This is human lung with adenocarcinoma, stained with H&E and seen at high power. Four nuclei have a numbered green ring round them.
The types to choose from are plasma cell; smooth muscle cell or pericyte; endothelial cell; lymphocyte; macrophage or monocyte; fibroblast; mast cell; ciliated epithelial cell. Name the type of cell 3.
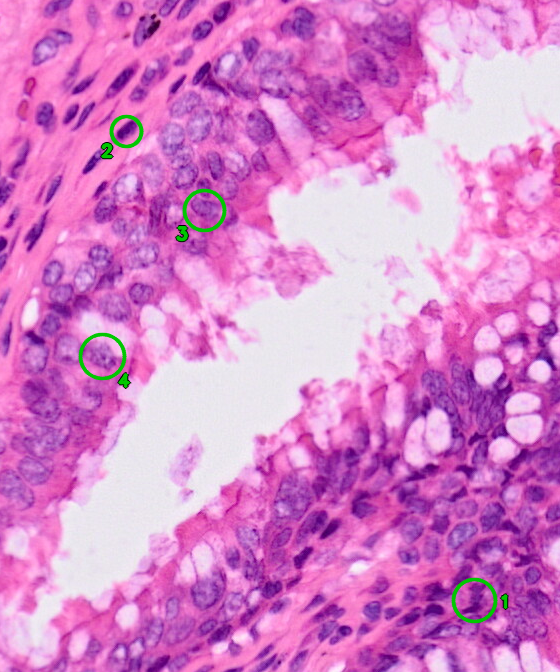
ciliated epithelial cell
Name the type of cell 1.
ciliated epithelial cell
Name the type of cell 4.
ciliated epithelial cell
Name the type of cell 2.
plasma cell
